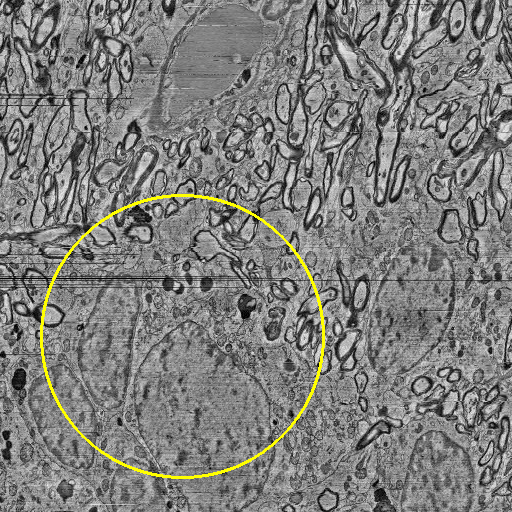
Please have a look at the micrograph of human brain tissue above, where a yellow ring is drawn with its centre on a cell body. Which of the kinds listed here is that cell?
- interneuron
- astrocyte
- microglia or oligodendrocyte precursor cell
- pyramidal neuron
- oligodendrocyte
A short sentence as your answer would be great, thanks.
At the centre of the ring sits an interneuron.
